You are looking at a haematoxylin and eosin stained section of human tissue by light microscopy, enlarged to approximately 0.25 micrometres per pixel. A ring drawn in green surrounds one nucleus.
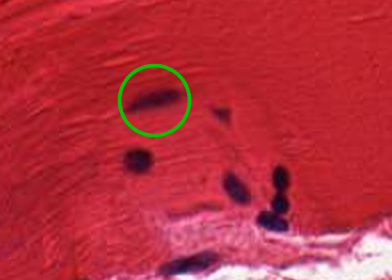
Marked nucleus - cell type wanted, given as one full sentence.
The marked nucleus is that of a skeletal muscle fibre.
